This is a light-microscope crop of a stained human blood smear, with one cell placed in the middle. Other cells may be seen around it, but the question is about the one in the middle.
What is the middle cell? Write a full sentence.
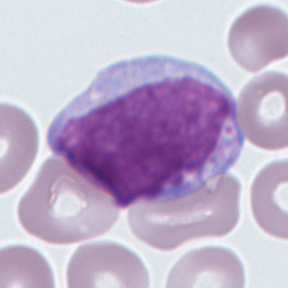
The cell marked by its central position in the crop is an atypical promyelocyte.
